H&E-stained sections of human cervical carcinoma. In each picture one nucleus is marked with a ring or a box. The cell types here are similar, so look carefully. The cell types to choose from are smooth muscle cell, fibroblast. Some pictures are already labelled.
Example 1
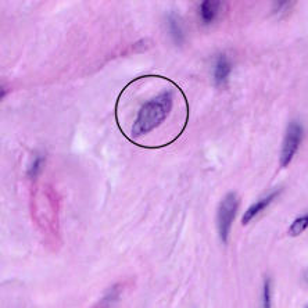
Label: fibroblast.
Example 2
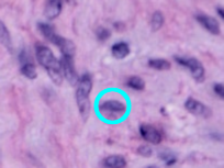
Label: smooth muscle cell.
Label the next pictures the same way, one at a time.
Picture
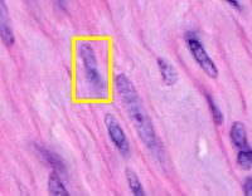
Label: smooth muscle cell.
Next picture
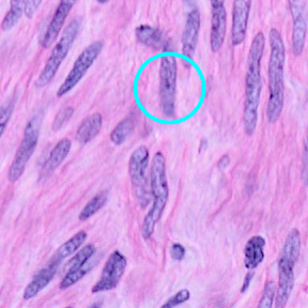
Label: smooth muscle cell.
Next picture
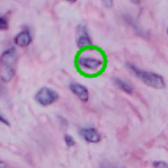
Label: smooth muscle cell.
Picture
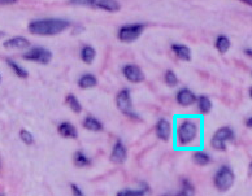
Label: smooth muscle cell.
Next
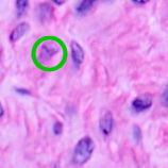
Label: smooth muscle cell.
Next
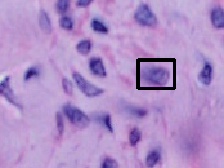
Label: smooth muscle cell.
